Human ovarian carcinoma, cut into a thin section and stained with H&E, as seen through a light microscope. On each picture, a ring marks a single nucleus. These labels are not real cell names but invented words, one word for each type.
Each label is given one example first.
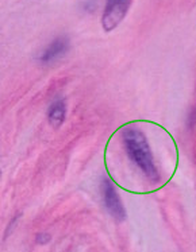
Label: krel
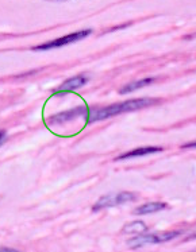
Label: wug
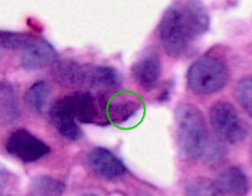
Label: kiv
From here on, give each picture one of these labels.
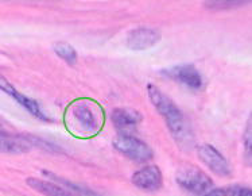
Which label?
krel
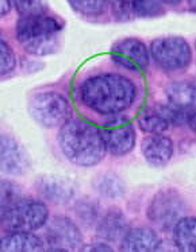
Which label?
kiv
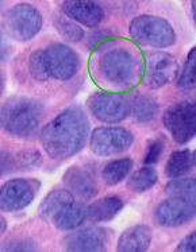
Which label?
kiv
